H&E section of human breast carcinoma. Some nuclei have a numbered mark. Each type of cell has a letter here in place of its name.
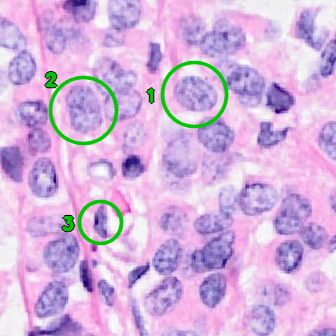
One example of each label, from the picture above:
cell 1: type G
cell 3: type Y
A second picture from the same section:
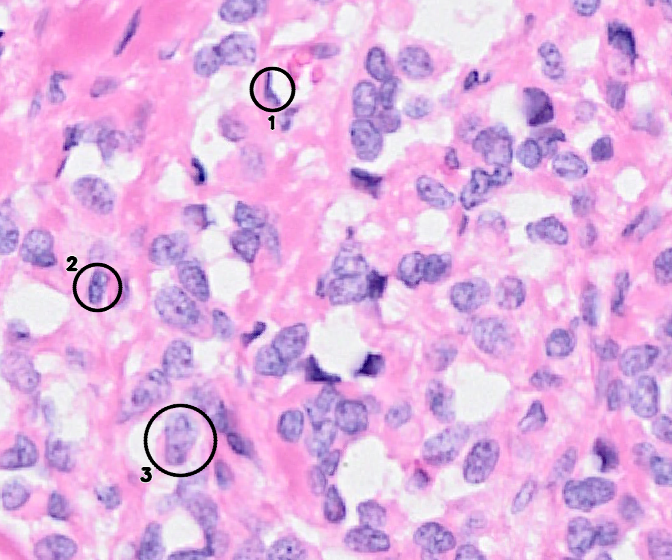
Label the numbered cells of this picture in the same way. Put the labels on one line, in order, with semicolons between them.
type Y; type Y; type G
